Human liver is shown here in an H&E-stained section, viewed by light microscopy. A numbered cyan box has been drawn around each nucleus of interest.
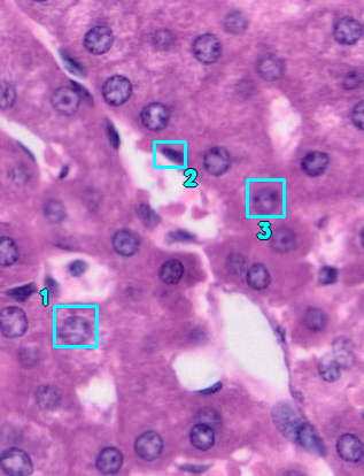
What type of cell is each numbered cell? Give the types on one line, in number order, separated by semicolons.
hepatocyte; fibroblast or stellate cell; hepatocyte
